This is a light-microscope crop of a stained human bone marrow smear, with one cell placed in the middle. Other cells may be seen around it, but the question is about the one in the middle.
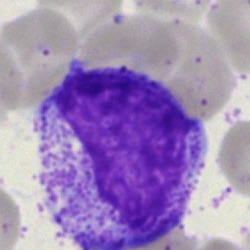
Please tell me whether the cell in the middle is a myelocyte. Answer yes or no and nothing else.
yes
